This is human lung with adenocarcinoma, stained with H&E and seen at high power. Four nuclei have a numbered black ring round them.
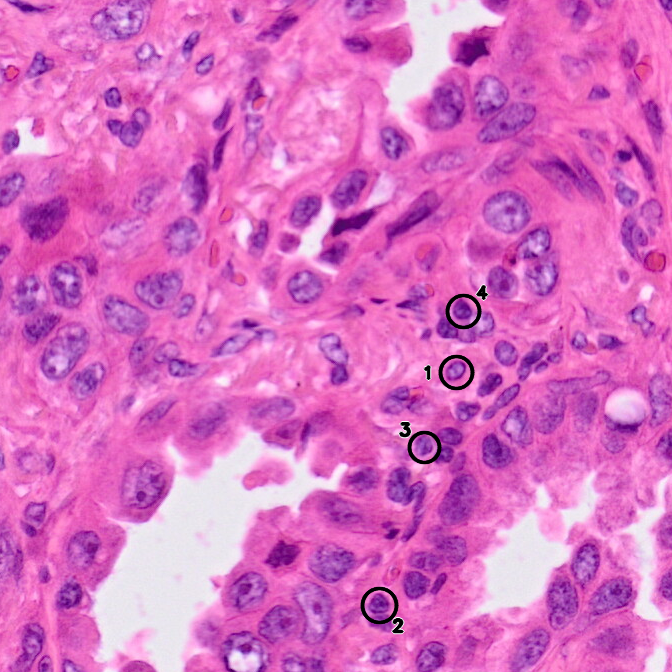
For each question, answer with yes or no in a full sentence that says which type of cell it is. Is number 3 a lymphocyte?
Yes, the cell labelled with number 3 is a lymphocyte.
